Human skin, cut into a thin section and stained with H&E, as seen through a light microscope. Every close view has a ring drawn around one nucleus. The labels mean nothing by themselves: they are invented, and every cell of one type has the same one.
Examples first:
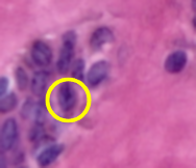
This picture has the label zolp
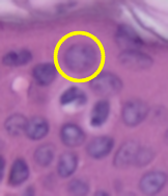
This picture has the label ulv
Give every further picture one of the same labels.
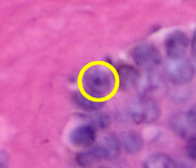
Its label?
zolp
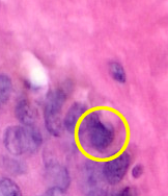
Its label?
zolp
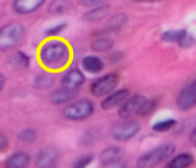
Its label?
ulv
